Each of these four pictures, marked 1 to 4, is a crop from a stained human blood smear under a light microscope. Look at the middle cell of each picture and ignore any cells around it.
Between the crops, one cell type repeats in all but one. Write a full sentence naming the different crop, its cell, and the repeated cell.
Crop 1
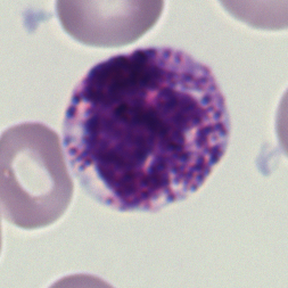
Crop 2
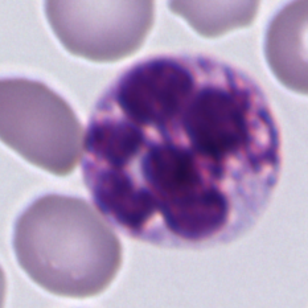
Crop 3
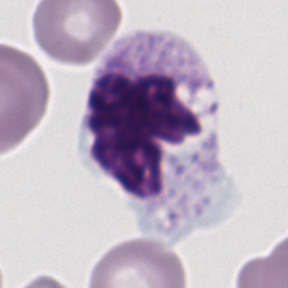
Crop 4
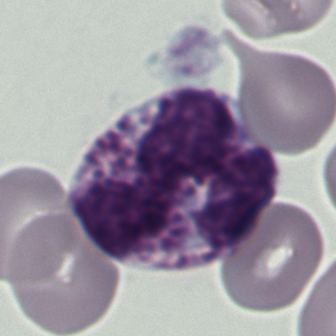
Crop 3 differs from its companions, showing a segmented neutrophil where they show basophils.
